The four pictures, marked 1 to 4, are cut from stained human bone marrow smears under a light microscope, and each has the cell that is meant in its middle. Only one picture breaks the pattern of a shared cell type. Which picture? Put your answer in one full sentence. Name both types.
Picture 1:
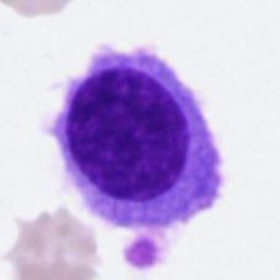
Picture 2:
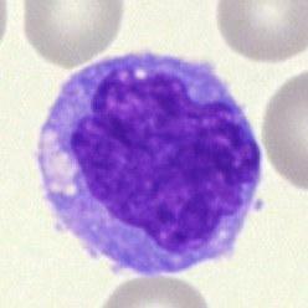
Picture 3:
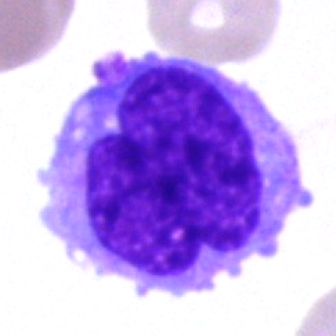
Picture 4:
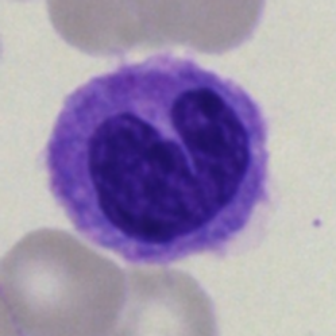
Unlike the rest, which show monocytes, picture 1 shows a hairy cell.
